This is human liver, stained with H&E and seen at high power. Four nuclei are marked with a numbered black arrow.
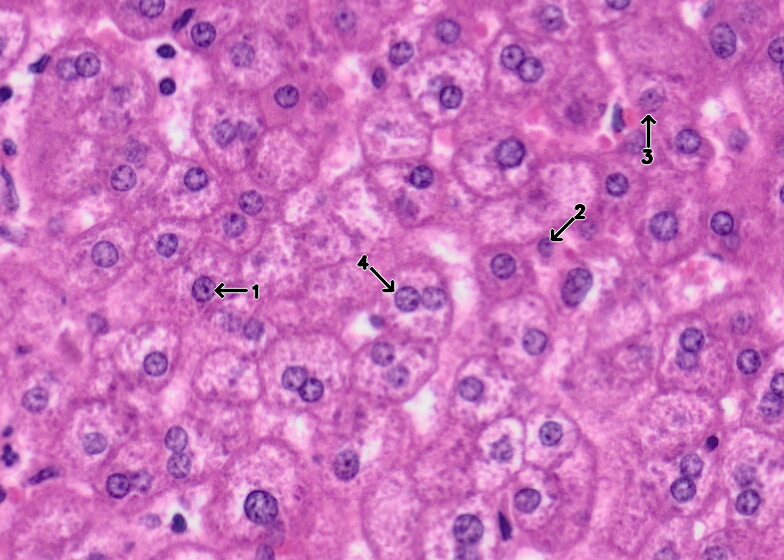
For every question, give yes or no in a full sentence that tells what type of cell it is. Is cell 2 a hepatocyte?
No, the correct answer for cell 2 is a Kupffer cell, not a hepatocyte.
